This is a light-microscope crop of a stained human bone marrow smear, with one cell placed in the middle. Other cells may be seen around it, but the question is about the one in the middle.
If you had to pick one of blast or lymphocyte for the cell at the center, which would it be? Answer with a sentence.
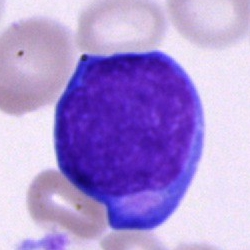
The cell the crop is centered on is a blast.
